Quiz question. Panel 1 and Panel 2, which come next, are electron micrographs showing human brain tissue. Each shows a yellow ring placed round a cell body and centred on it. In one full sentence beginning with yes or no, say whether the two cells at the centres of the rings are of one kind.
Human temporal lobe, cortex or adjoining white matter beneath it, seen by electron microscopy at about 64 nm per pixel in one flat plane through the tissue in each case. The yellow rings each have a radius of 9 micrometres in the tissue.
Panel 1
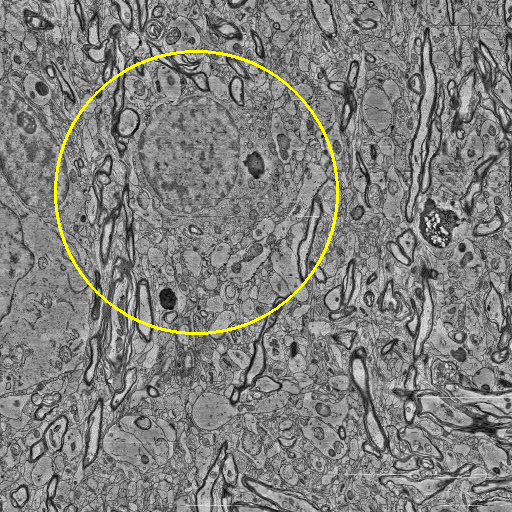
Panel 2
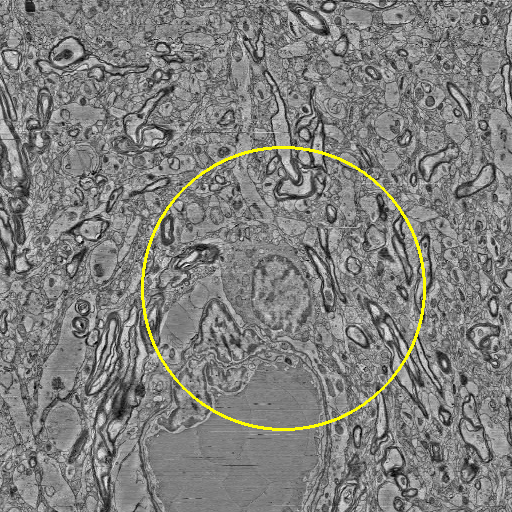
Yes, Panel 1 and Panel 2 show one kind of cell at the centre of the ring.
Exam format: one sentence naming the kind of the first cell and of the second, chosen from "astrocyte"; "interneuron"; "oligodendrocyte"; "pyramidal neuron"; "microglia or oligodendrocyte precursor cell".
Each of the ringed cells, first and second, is an oligodendrocyte.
